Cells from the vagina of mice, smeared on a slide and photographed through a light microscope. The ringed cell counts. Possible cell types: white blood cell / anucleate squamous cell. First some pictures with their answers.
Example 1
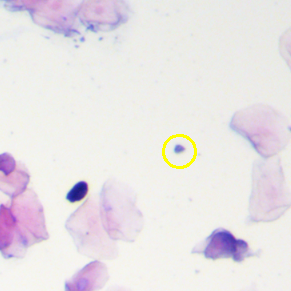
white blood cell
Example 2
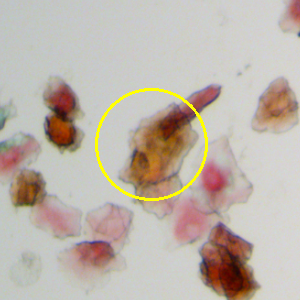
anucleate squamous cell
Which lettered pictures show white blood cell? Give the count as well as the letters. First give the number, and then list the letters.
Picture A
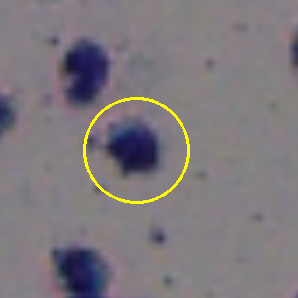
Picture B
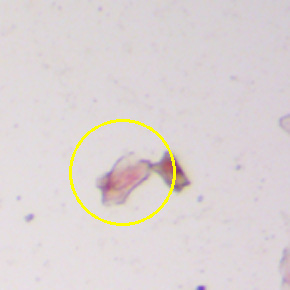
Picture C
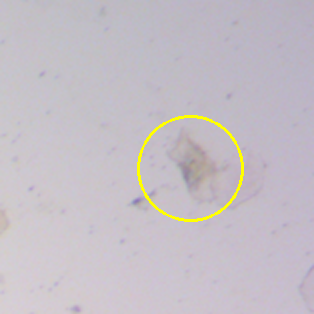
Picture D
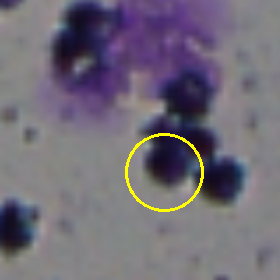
2, namely A, D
